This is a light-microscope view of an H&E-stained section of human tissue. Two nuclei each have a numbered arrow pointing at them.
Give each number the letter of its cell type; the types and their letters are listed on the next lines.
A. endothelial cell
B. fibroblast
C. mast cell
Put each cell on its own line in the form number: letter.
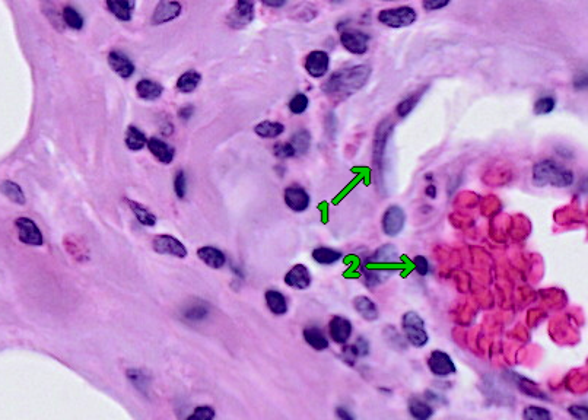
1: B
2: A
